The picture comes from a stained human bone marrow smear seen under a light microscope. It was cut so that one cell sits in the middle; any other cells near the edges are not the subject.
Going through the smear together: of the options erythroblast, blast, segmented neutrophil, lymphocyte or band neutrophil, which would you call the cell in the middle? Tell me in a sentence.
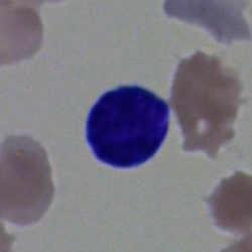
The cell positioned in the middle of the field is a lymphocyte.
